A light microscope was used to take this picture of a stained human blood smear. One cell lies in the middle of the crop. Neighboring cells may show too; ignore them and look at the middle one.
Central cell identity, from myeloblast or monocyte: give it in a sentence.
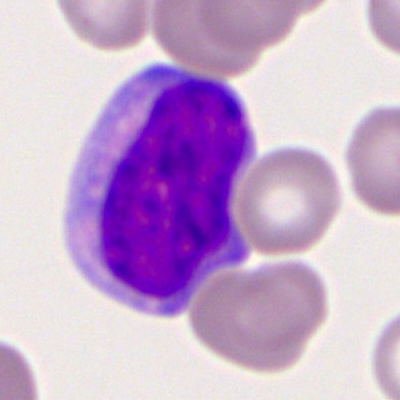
The center cell of this crop is a myeloblast.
